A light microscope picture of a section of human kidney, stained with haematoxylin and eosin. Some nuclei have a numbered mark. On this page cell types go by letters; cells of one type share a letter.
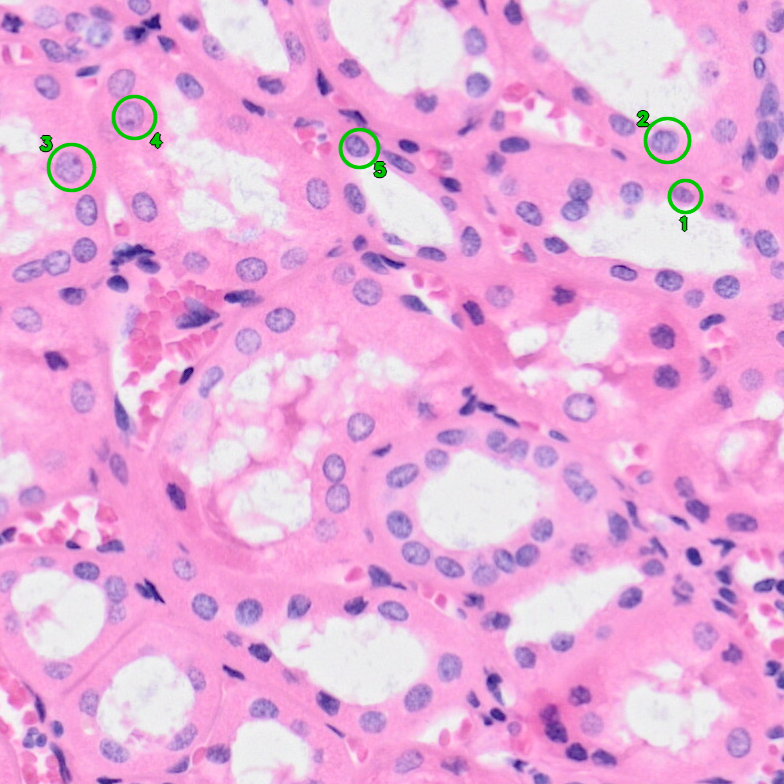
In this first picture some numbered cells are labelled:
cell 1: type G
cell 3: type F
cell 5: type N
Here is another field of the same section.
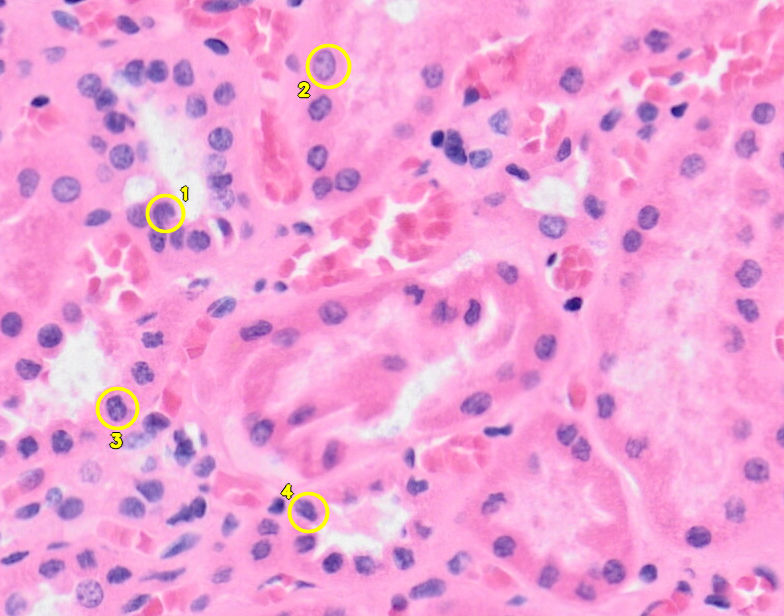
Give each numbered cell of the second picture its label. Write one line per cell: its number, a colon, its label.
1: type N
2: type F
3: type G
4: type G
